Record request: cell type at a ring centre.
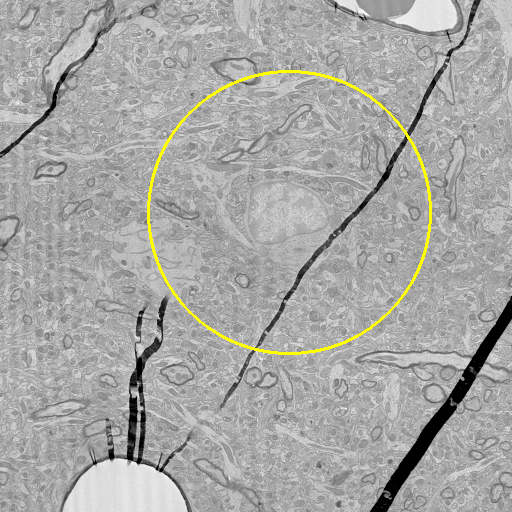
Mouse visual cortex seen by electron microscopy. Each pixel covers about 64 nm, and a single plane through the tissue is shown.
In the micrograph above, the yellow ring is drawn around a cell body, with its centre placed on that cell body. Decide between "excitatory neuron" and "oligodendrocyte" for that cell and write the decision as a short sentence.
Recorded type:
The cell centred in the yellow ring is an oligodendrocyte.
